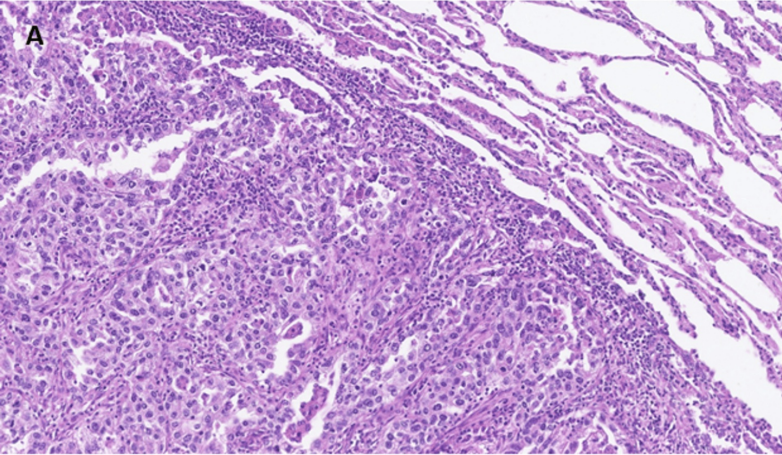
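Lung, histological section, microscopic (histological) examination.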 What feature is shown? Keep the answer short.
solid nests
